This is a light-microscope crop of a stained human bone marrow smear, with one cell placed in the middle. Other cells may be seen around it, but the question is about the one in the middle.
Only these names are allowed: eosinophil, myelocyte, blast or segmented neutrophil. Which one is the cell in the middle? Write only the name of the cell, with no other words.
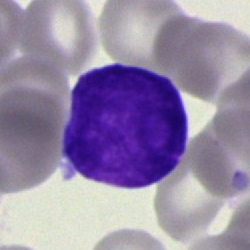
blast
